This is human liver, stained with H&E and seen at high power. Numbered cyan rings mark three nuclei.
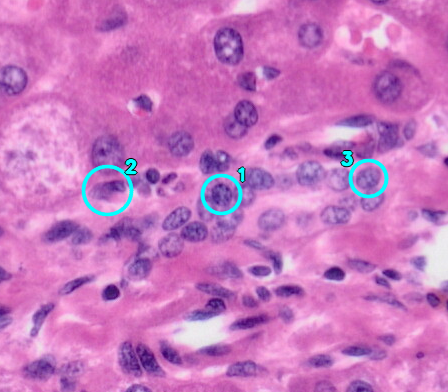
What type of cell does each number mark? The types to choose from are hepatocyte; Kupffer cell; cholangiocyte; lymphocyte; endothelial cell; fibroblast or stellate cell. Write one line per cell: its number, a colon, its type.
1: cholangiocyte
2: fibroblast or stellate cell
3: cholangiocyte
